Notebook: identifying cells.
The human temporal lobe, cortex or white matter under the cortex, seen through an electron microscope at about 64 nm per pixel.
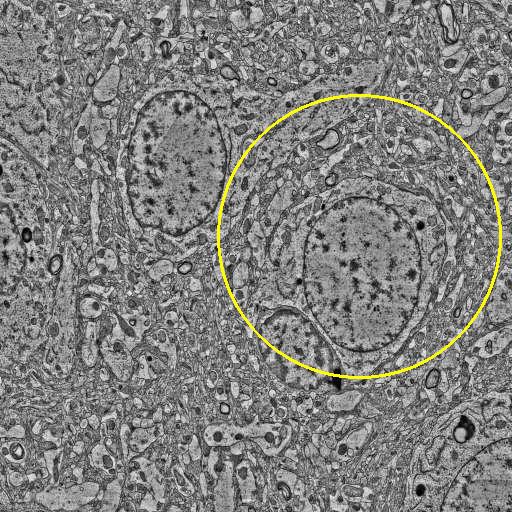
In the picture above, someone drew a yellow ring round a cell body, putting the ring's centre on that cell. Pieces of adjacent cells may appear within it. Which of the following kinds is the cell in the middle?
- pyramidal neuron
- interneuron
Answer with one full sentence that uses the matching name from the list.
In this picture, the yellow ring is centred on the body of a pyramidal neuron.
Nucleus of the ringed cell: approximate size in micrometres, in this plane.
In this plane, approximately 10 by 8 micrometers.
